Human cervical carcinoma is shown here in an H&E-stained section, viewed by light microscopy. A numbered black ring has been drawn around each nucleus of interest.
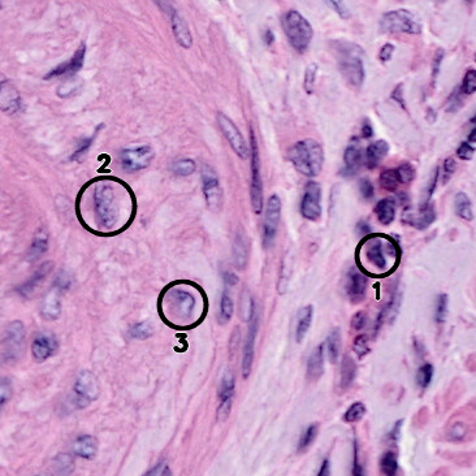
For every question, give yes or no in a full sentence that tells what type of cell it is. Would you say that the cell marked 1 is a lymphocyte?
Yes, it checks out; the cell labelled 1 is a lymphocyte.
